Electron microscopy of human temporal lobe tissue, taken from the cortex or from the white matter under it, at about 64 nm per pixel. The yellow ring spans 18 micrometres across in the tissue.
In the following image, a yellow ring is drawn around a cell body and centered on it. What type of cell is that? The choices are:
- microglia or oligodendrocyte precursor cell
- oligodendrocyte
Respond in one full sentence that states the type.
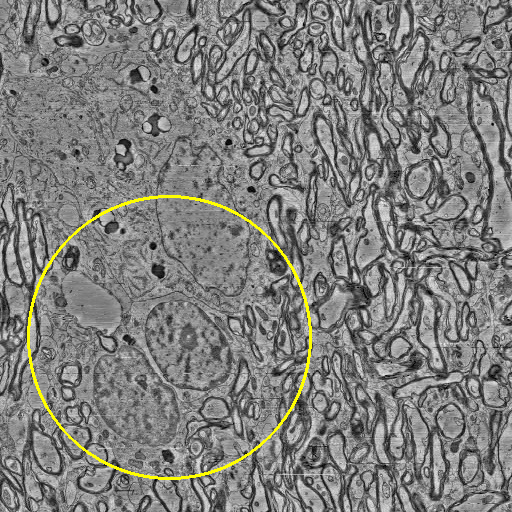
The cell at the center of the yellow ring in the image is a microglial cell or oligodendrocyte precursor cell.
